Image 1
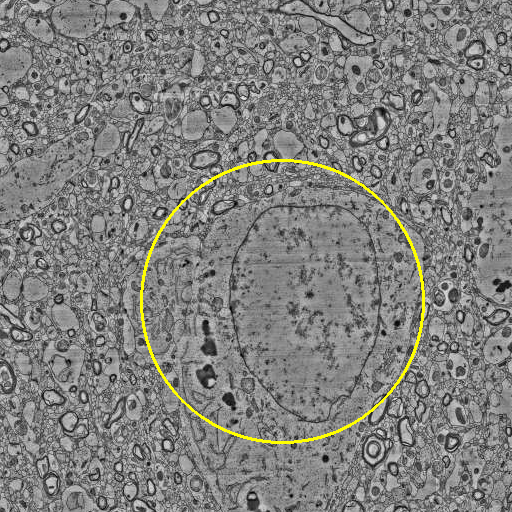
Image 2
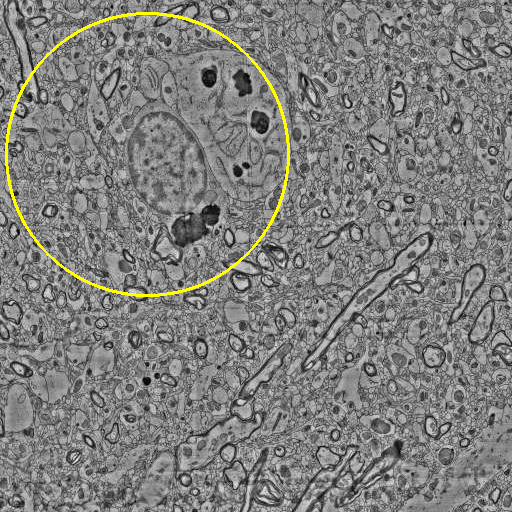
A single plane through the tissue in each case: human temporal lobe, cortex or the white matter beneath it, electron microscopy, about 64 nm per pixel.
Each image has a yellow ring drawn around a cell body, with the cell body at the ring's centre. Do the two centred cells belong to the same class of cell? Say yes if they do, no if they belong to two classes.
no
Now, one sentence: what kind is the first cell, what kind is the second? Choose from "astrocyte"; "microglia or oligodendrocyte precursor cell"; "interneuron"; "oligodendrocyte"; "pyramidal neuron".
The first picture has a pyramidal neuron at its ring centre, and the second has an oligodendrocyte.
